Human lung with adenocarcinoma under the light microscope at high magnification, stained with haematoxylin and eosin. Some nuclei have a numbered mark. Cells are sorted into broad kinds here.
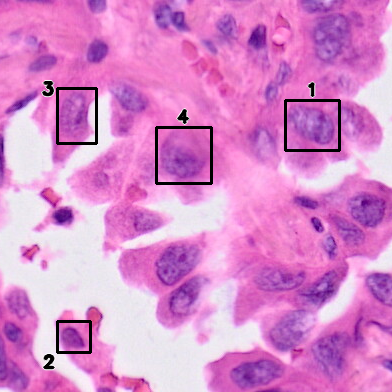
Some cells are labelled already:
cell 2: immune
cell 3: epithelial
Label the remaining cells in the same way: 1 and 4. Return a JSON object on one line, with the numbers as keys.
{"1": "epithelial", "4": "epithelial"}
